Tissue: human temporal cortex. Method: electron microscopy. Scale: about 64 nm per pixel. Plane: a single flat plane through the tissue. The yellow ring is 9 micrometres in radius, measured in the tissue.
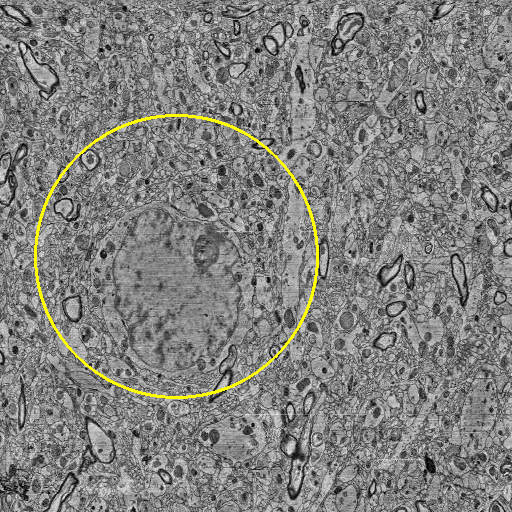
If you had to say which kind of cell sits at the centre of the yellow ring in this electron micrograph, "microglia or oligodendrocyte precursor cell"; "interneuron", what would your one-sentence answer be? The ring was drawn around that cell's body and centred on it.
The cell sitting at the centre of the ring is an interneuron.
